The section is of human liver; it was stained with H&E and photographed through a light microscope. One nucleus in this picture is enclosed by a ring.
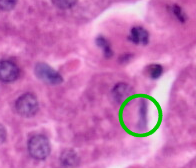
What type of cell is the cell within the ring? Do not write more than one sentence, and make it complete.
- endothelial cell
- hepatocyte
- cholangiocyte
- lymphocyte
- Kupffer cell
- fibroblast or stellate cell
In cell-type terms, the cell within the ring is a Kupffer cell.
